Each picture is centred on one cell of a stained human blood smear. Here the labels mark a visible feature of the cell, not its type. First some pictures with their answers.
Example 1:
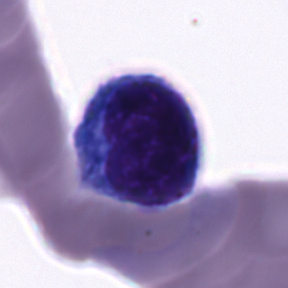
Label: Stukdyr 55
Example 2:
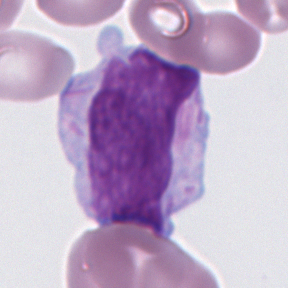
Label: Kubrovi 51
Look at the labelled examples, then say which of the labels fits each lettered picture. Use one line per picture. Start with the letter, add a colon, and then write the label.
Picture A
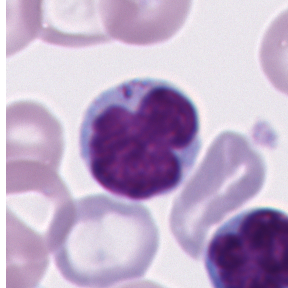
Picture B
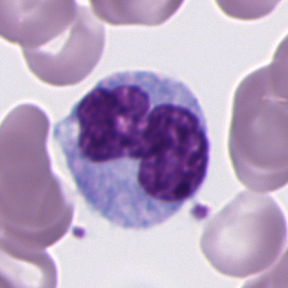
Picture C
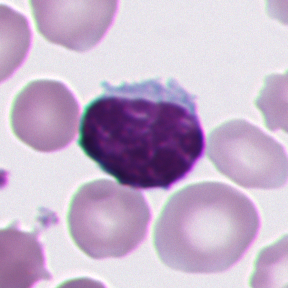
A: Stukdyr 55
B: Stukdyr 55
C: Kubrovi 51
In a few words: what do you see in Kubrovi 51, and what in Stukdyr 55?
Kubrovi 51: ragged outline or projections; Stukdyr 55: smooth outline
